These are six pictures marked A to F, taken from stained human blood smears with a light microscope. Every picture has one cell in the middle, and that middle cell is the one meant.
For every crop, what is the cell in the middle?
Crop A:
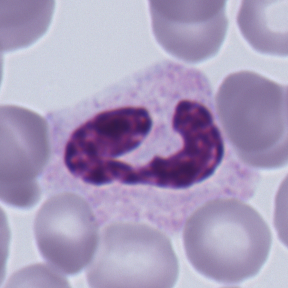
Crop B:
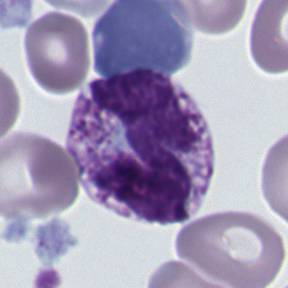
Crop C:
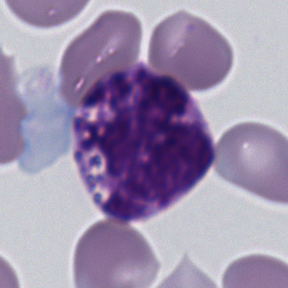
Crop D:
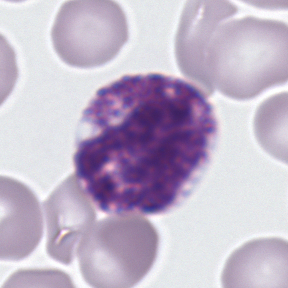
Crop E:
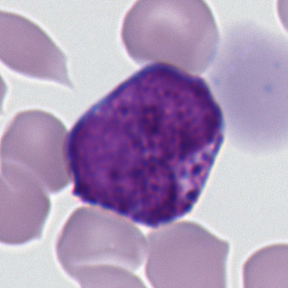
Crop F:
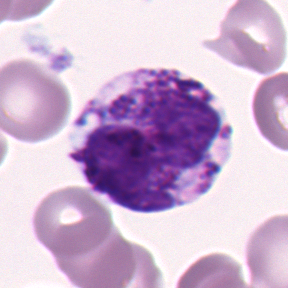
A: neutrophil
B: basophil
C: basophil
D: basophil
E: basophil
F: basophil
